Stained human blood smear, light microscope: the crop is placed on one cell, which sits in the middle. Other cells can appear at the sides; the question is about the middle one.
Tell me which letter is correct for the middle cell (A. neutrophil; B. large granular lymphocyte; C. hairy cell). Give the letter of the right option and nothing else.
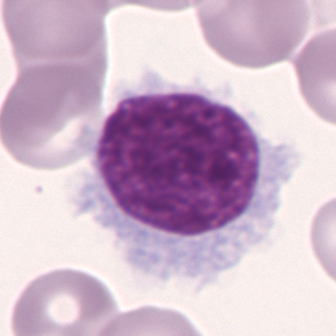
C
